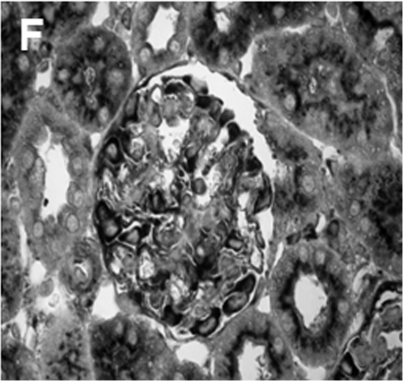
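A glomerulus of the renal cortex is seen in the centre, its capillary tuft enclosed by a thin Bowman's capsule and surrounded by cross-sectioned tubules. Cells on the outer surface of the tuft, the podocytes, are darkly stained and outline the capillary loops. A clear space separates the tuft from the capsule on one side. The surrounding tubules are lined by cuboidal epithelium with granular, stained cytoplasm and open lumina.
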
